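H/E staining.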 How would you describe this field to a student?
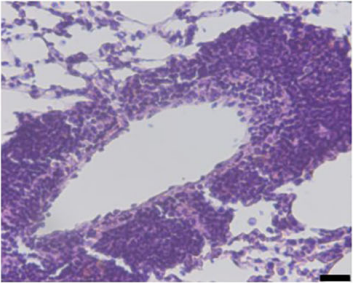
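This is a section of lung around an airway, stained pink and purple. The airway's lumen is lined by a layer of epithelial cells. Around it lies a thick, dense cuff of small round cells with dark purple nuclei and scant cytoplasm, packed so tightly that they crowd the wall and spread into the tissue around it. Thin-walled alveolar spaces are seen at the edges of the field.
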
